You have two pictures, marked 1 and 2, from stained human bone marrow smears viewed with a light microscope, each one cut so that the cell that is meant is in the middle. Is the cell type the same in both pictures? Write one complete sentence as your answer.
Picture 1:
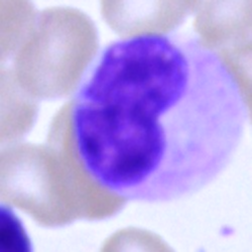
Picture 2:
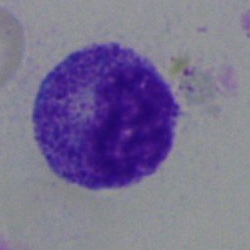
No; the cell in picture 1 is a metamyelocyte, while the one in picture 2 is a myelocyte.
